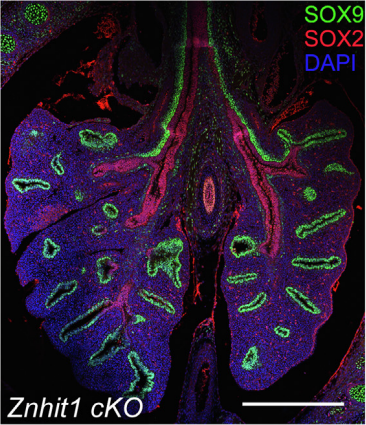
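Lung lobes are shown in which the distal epithelium, outlined in green, forms relatively few elongated tubules that stretch toward the lobe edges instead of many small round tips. Red-lined proximal airways run in from the centre, and the surrounding mesenchyme is stained blue.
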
